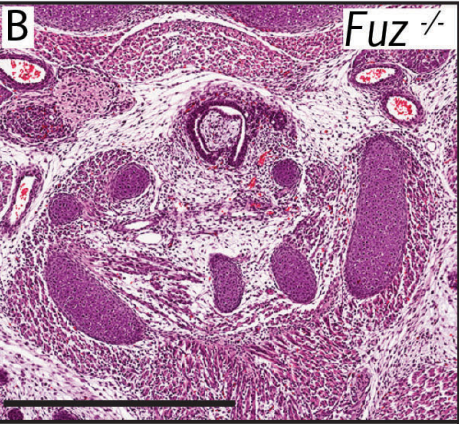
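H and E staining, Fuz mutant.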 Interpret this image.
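Horizontal section of a malformed larynx in which cartilage occurs as separate, oval, dense purple islands. These islands are scattered within abundant pale, loosely arranged connective tissue. Pink muscle bundles run in irregular directions, no central airway lumen is formed, and blood vessels filled with red cells lie at the edges.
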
